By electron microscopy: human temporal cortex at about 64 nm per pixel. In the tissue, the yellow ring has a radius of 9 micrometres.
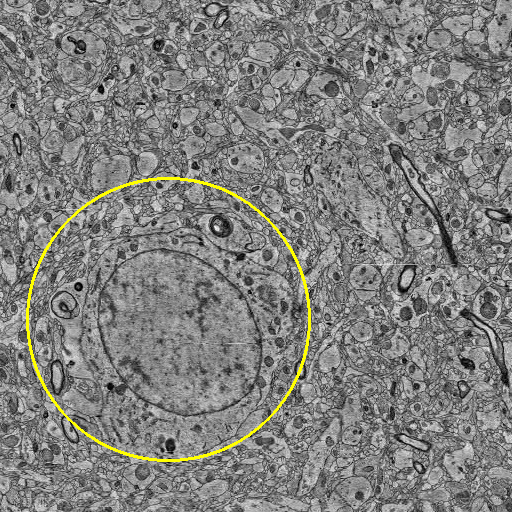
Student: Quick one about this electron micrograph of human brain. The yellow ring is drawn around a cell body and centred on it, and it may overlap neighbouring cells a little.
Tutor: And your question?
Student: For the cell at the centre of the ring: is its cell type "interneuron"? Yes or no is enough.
no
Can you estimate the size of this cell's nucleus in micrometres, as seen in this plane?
The ringed cell's nucleus is about 12 micrometres long and 10 micrometres wide in this plane.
